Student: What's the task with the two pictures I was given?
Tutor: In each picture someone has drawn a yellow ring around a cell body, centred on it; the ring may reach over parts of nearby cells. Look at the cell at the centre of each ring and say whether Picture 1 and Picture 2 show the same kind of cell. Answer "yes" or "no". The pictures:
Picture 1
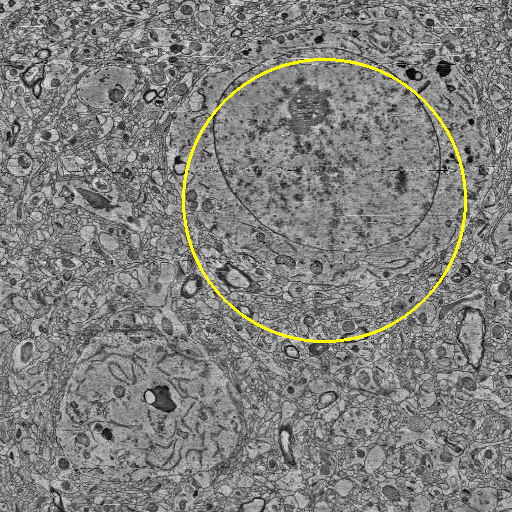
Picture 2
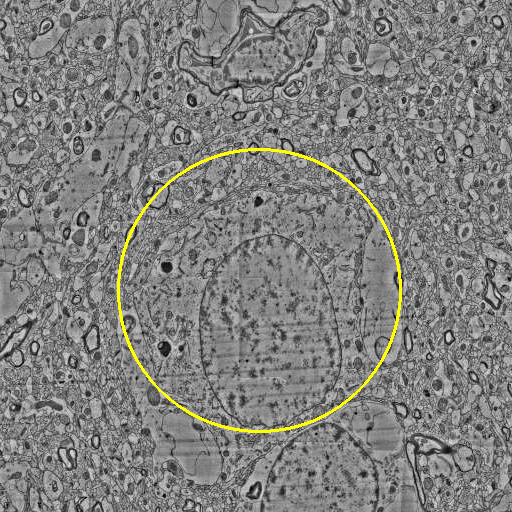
yes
